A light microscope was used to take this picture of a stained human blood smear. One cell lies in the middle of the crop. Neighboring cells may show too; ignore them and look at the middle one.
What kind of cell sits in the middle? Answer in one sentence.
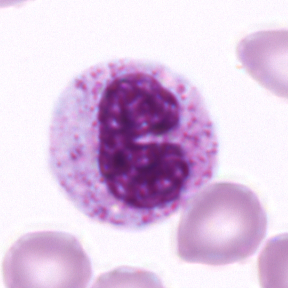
The cell featured at the centre of this crop is a band neutrophil.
